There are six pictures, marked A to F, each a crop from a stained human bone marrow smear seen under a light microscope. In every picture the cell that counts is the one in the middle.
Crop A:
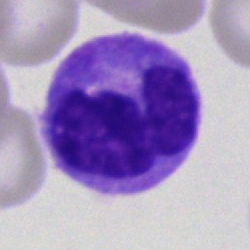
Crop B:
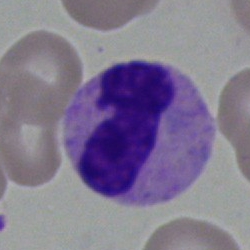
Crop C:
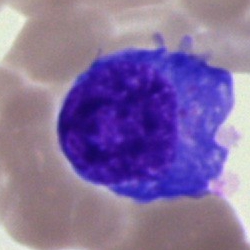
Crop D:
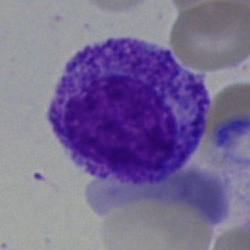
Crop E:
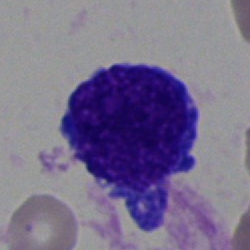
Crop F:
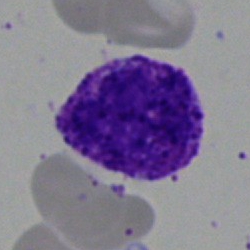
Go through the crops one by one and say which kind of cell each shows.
A: monocyte
B: band neutrophil
C: plasma cell
D: myelocyte
E: blast
F: basophil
